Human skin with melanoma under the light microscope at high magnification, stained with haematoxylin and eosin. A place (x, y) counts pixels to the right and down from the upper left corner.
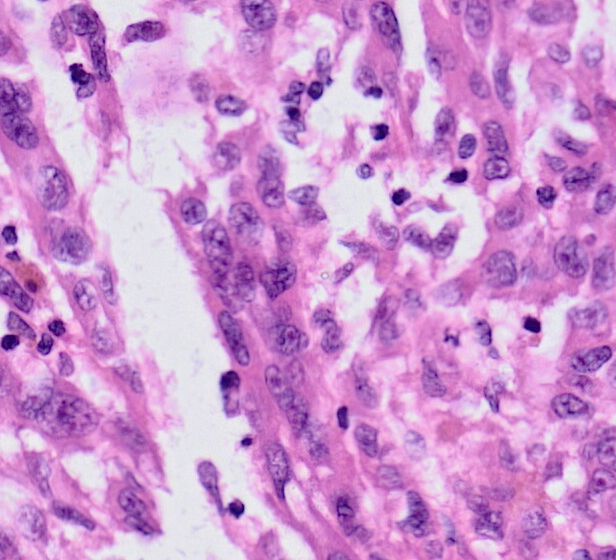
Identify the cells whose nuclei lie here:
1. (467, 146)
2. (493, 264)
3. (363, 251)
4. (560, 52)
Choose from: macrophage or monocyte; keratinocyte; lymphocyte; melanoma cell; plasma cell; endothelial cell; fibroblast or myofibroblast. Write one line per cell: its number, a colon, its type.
1: lymphocyte
2: melanoma cell
3: melanoma cell
4: melanoma cell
